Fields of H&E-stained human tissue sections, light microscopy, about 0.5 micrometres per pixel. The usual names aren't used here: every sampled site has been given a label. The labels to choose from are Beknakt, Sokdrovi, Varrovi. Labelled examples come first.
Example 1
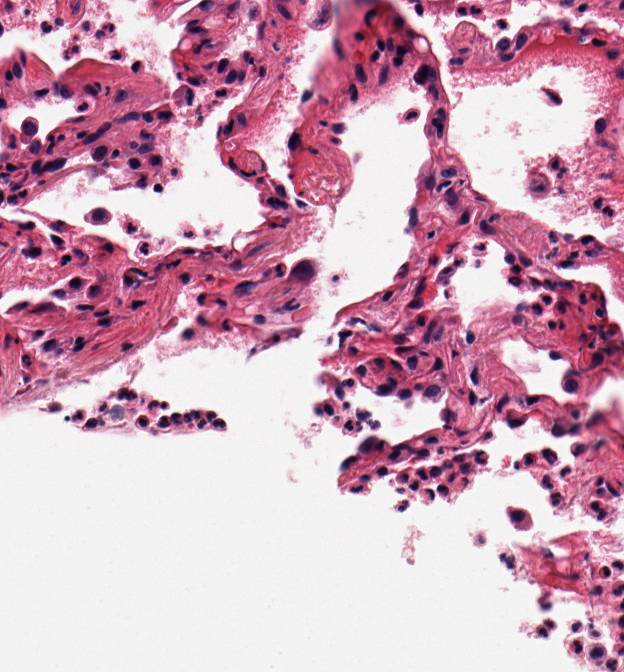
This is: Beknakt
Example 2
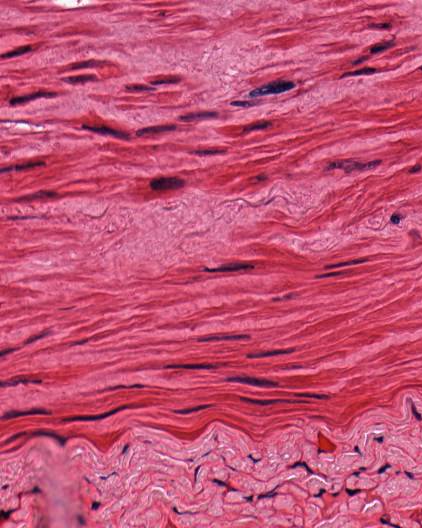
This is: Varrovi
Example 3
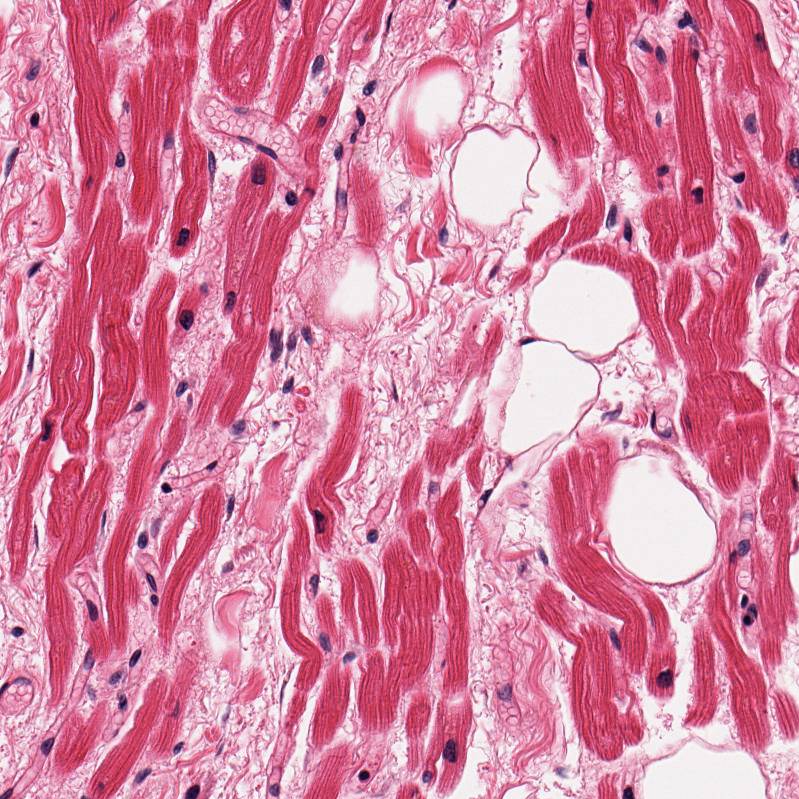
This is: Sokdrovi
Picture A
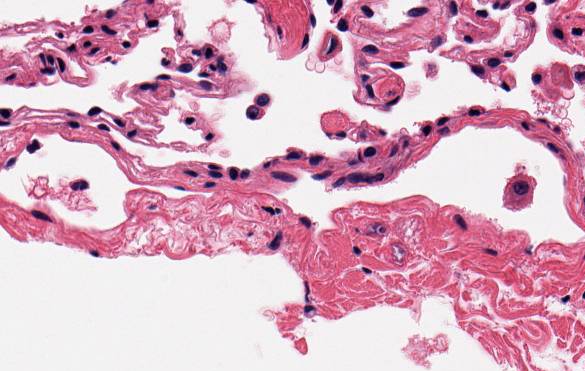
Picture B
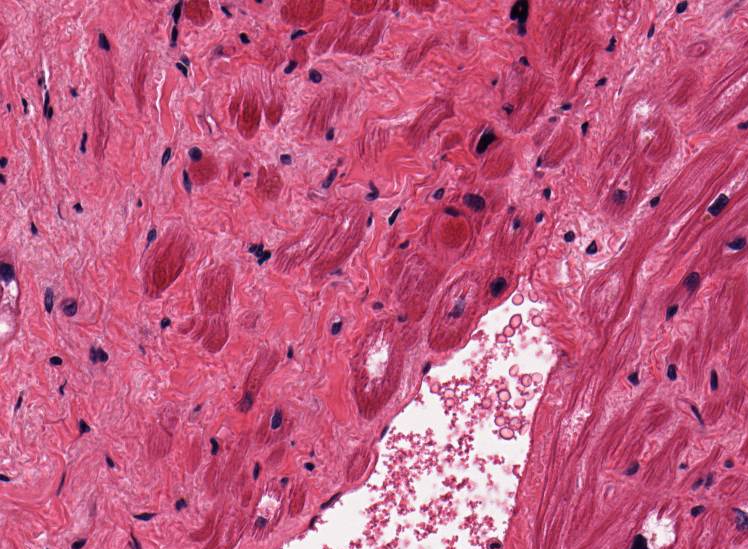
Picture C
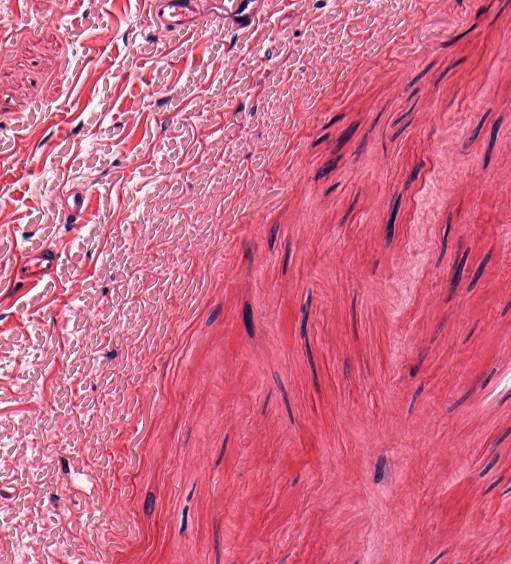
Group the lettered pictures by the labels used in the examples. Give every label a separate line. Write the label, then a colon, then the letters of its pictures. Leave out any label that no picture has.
Beknakt: A
Sokdrovi: B
Varrovi: C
